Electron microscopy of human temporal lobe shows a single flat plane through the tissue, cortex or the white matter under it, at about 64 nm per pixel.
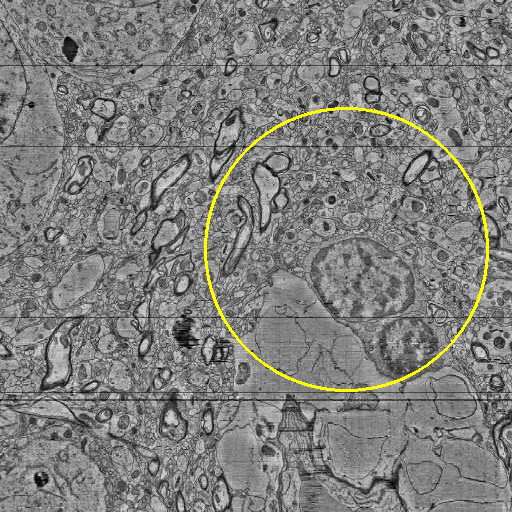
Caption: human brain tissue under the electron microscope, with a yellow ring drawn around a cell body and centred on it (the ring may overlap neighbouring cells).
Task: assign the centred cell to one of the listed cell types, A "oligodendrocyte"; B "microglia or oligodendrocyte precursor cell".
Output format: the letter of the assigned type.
A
